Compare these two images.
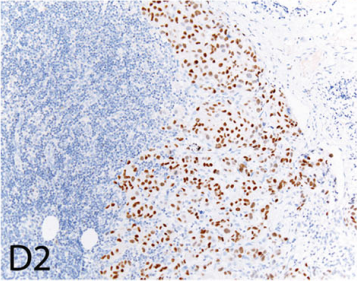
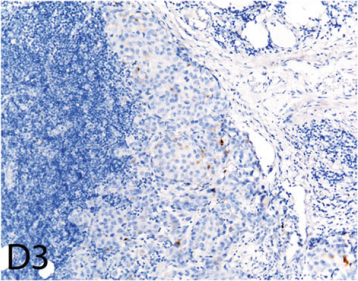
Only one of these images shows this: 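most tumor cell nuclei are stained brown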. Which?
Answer: the first image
